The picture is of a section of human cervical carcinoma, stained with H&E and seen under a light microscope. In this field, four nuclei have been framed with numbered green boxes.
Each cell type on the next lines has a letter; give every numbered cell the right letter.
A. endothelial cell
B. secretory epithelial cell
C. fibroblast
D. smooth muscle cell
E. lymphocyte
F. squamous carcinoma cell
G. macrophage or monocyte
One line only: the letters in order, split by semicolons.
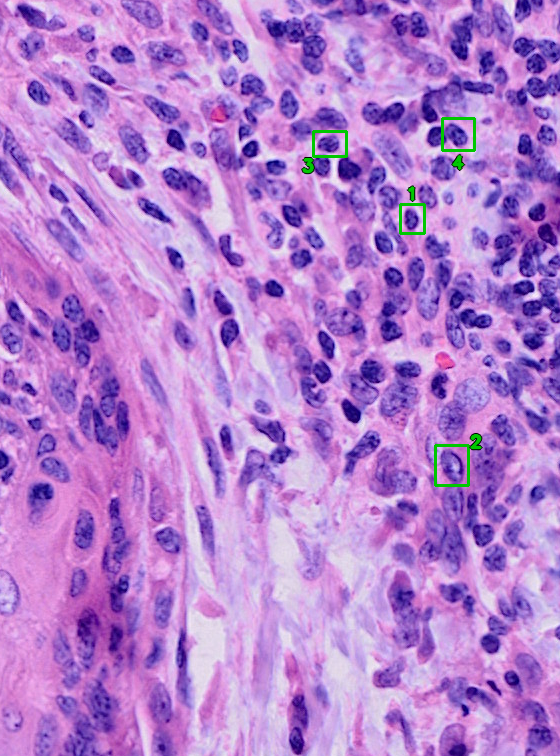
E; A; E; E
